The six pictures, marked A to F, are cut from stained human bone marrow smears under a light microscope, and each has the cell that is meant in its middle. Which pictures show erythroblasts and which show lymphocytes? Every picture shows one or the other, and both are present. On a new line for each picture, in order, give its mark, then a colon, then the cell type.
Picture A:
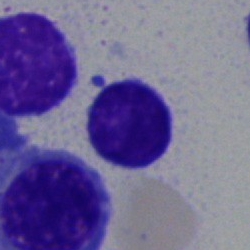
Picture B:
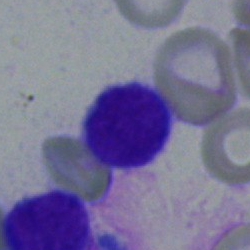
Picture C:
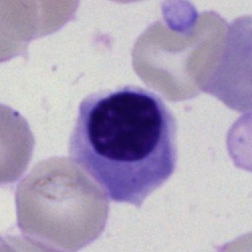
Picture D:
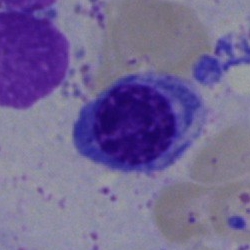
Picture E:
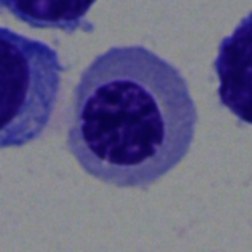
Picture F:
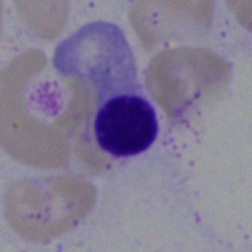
A: lymphocyte
B: lymphocyte
C: erythroblast
D: erythroblast
E: erythroblast
F: erythroblast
